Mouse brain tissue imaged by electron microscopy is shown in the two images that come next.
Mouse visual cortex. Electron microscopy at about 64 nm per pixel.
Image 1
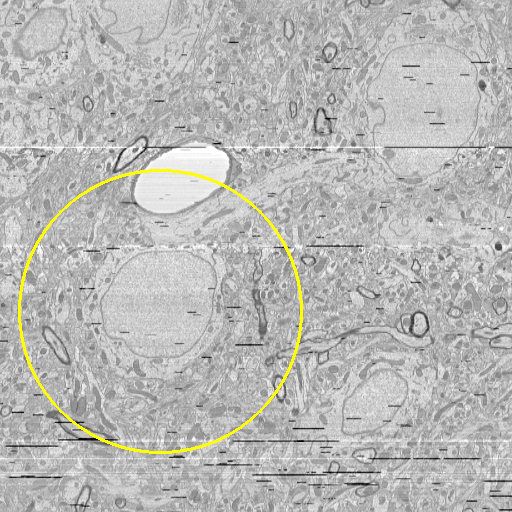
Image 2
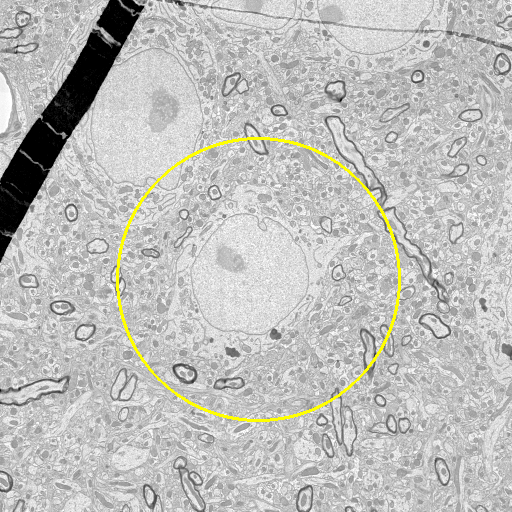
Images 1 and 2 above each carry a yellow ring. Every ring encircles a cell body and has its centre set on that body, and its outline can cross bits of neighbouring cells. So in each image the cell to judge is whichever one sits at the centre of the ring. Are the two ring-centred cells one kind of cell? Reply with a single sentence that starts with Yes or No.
Yes, in Image 1 and Image 2 the cells at the centres of their rings fall into one type.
